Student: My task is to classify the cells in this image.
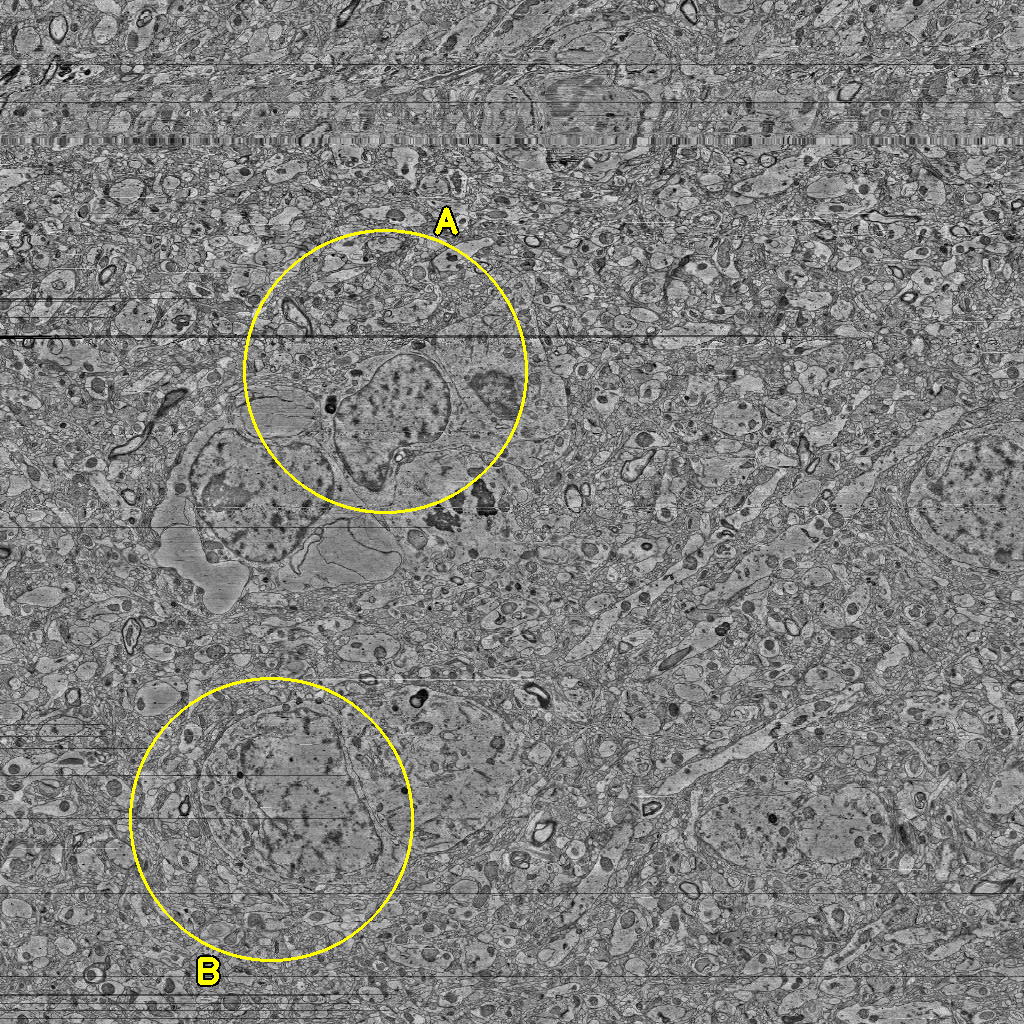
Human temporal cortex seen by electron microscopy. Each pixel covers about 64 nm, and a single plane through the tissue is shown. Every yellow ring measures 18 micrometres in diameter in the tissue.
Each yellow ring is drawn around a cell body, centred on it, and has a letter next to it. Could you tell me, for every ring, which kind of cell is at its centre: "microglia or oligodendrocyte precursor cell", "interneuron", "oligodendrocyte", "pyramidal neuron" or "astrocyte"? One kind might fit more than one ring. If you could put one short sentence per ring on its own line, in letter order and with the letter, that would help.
Ring A's central cell is a microglial cell or oligodendrocyte precursor cell.
Ring B's central cell is an interneuron.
